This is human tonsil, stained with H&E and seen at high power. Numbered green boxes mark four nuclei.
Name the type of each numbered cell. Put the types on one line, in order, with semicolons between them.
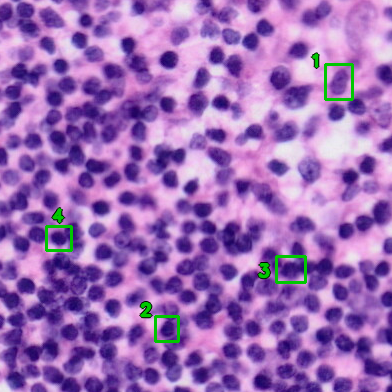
proliferating B cell; small lymphocyte; small lymphocyte; small lymphocyte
